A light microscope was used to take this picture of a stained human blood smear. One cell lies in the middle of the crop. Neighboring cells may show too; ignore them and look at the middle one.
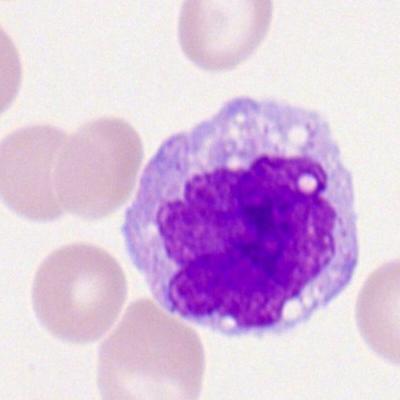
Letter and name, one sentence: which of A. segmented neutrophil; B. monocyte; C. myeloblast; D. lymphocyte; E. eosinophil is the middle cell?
Of the options given, B is correct, the central cell being a monocyte.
